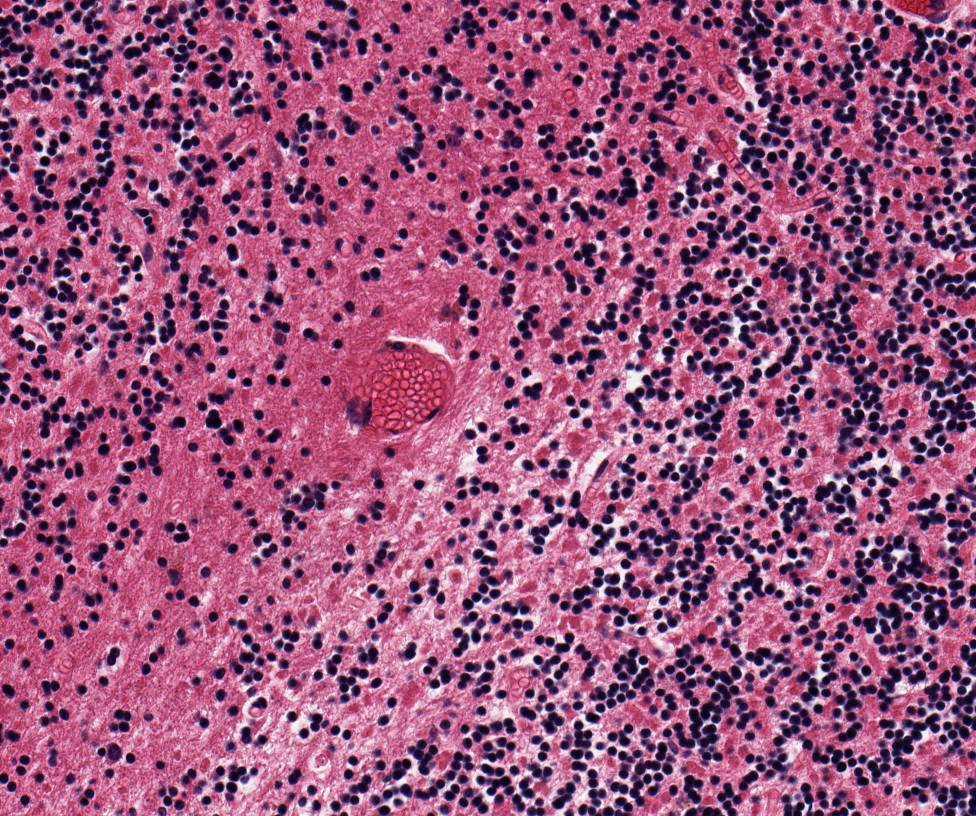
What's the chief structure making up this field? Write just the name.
granular layer of the cerebellum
